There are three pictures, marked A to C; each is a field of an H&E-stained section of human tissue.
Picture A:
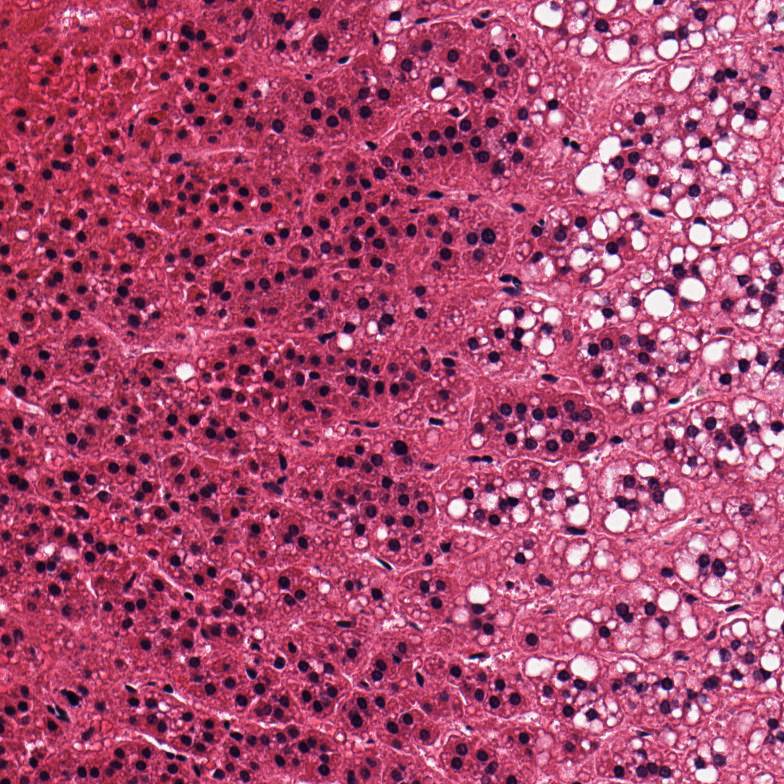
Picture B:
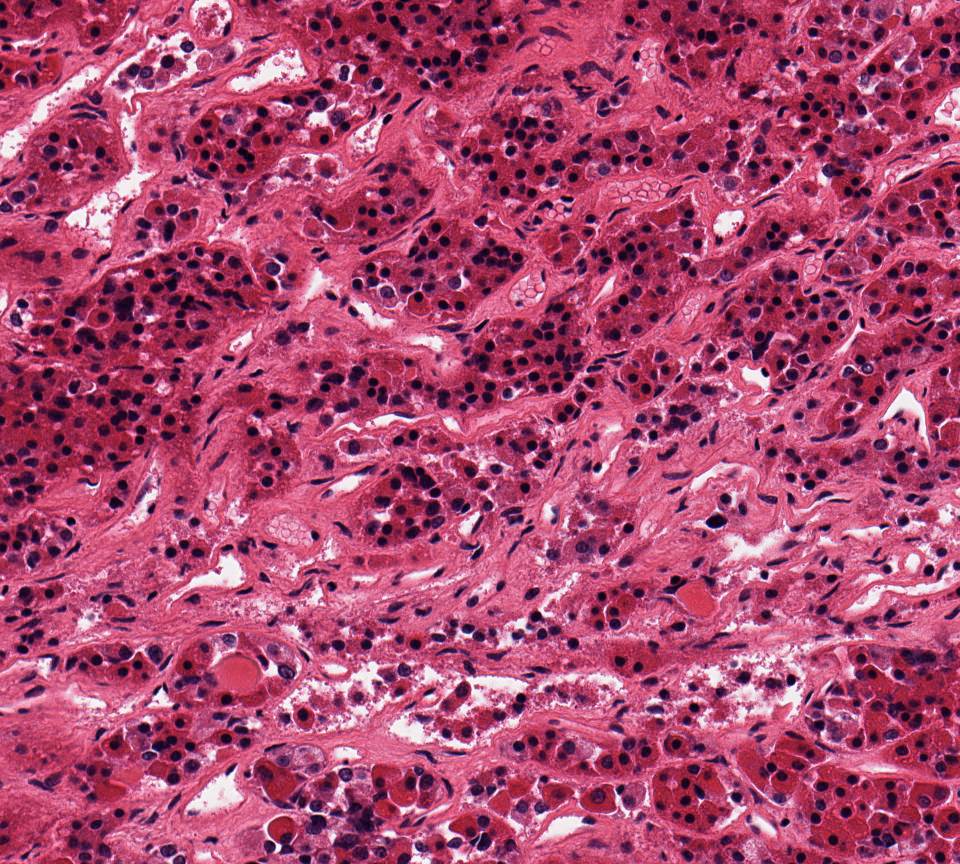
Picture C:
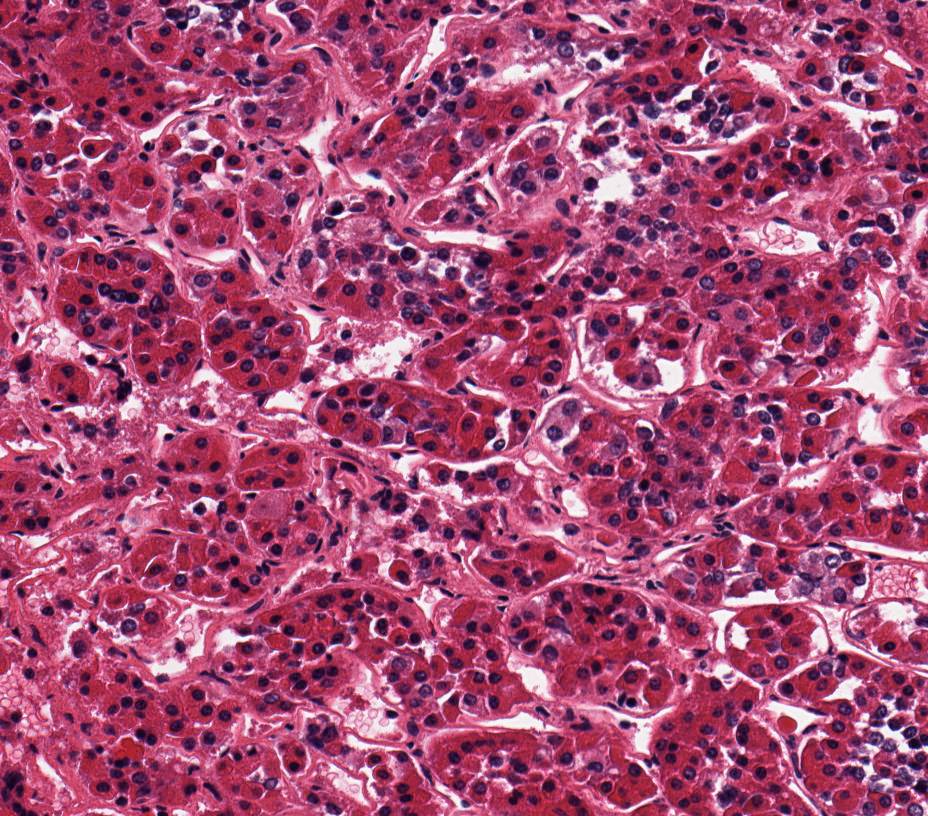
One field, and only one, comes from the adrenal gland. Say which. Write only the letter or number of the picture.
A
